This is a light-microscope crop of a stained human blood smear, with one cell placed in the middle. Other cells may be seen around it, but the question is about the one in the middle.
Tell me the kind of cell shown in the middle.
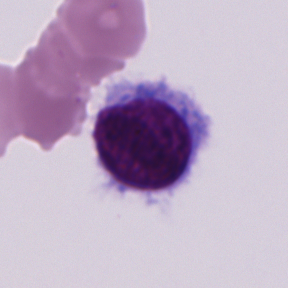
hairy cell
